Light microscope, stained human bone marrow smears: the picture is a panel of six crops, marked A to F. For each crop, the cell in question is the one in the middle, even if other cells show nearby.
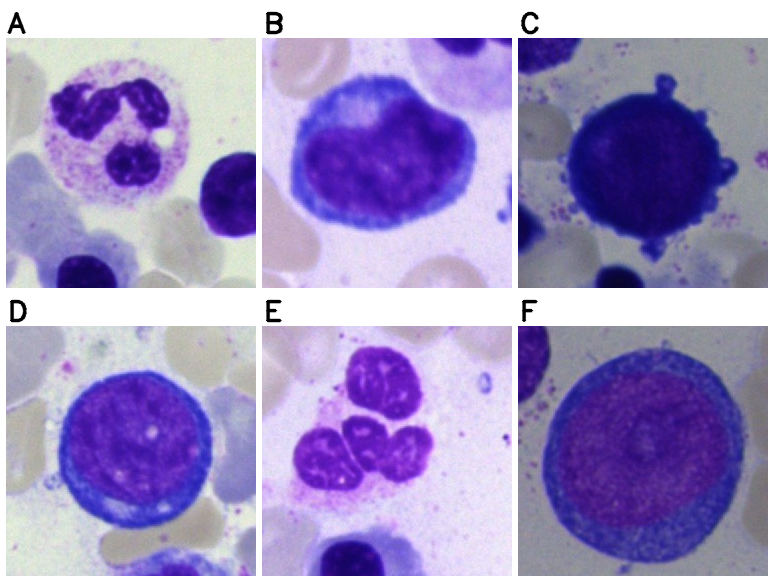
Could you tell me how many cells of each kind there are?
proerythroblast: 4
neutrophil: 2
